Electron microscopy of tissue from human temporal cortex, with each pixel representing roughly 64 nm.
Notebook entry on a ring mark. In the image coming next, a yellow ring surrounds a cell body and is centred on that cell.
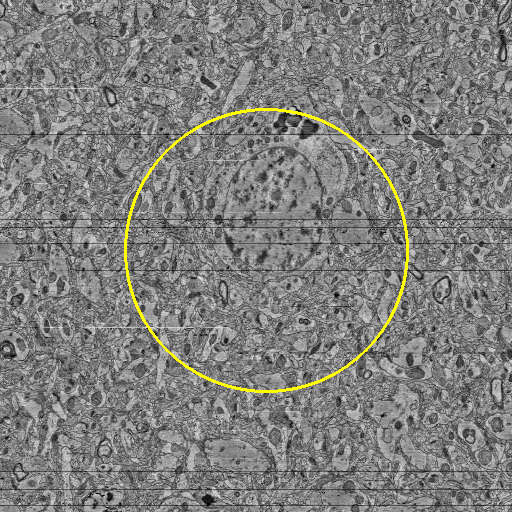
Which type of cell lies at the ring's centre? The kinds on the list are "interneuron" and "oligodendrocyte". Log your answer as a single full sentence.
Centred in the yellow ring is an interneuron, the cell recorded for this image.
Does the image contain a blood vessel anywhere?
No, there is no blood vessel in the image.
